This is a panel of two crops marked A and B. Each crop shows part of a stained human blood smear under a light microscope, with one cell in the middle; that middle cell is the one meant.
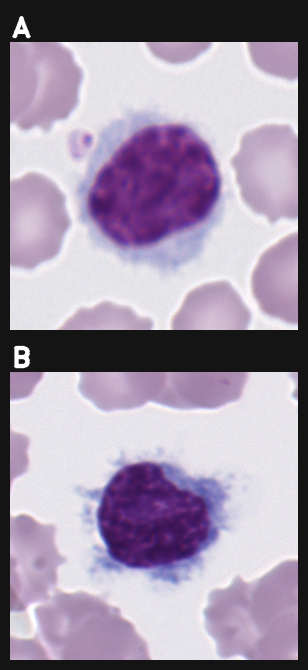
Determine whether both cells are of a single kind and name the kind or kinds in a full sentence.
Yes, both crops show hairy cells, each crop centred on one of them.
